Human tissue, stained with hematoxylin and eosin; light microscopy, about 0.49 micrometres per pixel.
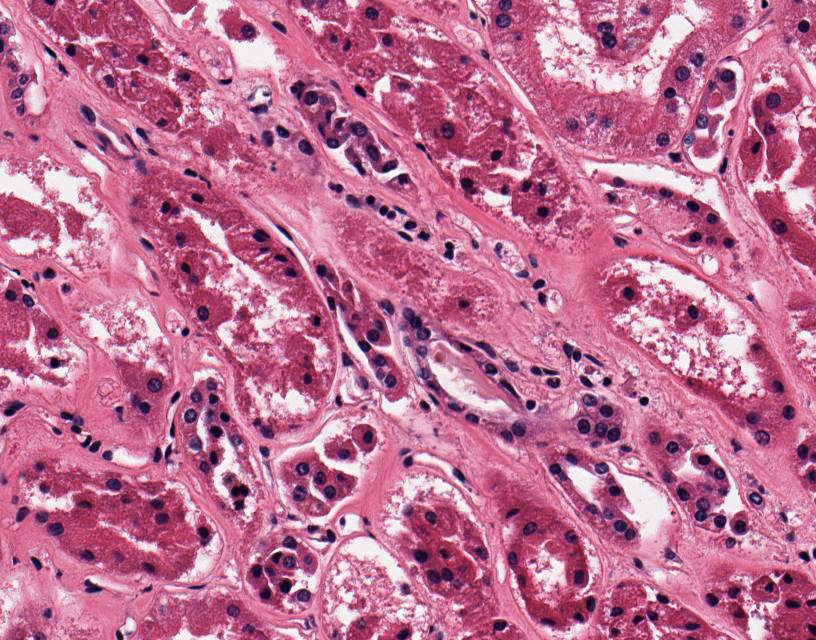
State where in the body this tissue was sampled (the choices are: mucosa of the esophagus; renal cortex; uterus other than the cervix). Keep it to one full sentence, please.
This section consists of tissue sampled from the renal cortex.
